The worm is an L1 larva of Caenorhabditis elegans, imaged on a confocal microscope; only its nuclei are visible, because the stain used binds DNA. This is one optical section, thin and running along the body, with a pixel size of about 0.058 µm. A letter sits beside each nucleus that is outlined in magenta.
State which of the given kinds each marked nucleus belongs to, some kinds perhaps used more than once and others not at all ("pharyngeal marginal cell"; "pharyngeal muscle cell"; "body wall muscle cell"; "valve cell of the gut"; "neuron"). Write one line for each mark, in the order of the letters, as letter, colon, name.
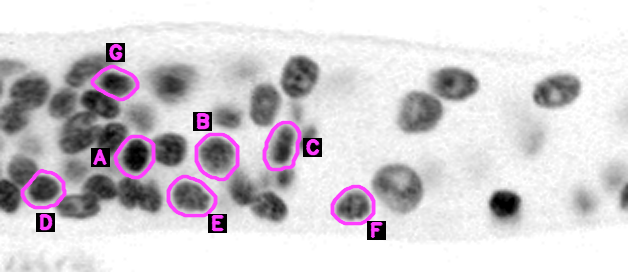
A: neuron
B: pharyngeal muscle cell
C: valve cell of the gut
D: neuron
E: body wall muscle cell
F: body wall muscle cell
G: neuron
